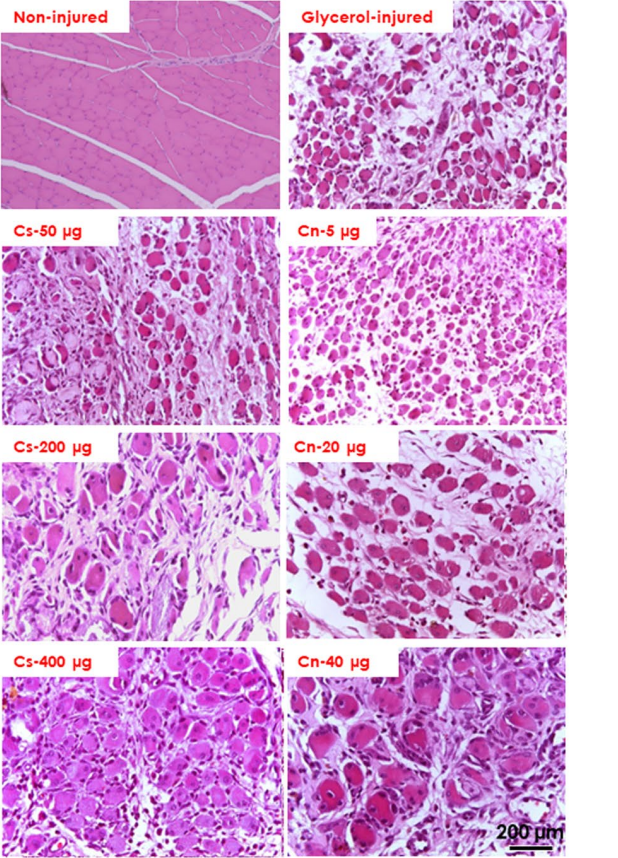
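Cross-sections of skeletal muscle stained pink and purple are shown side by side. One image shows large, closely packed pink muscle fibres of polygonal outline with small dark nuclei at their edges and thin septa of connective tissue between bundles.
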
